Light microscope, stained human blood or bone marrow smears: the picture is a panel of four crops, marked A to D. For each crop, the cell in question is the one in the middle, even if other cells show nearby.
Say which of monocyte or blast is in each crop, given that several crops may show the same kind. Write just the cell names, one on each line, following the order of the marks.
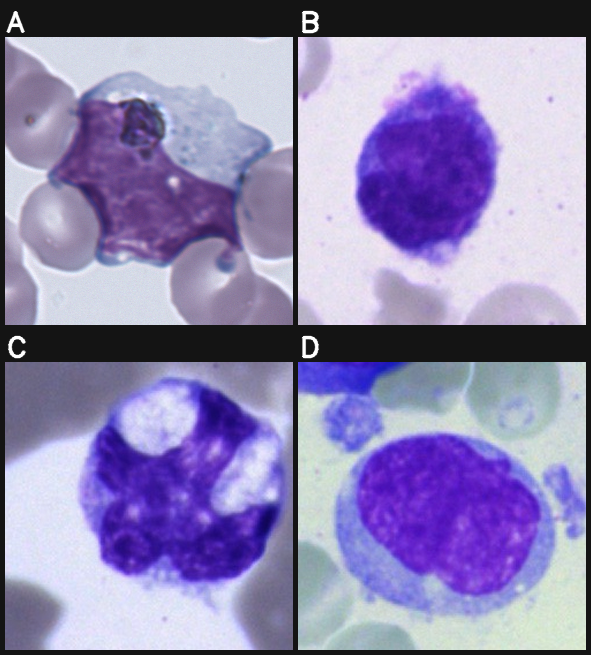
blast
monocyte
monocyte
monocyte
